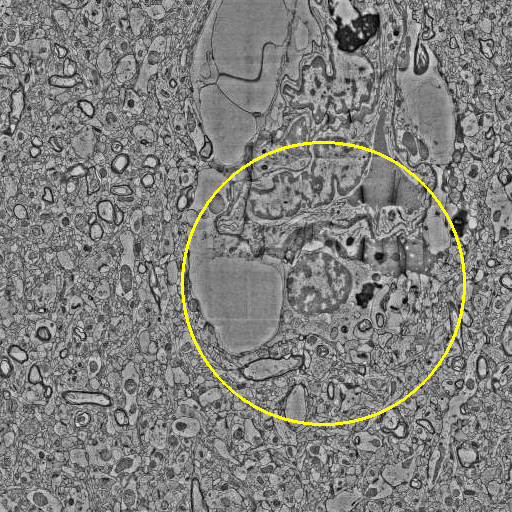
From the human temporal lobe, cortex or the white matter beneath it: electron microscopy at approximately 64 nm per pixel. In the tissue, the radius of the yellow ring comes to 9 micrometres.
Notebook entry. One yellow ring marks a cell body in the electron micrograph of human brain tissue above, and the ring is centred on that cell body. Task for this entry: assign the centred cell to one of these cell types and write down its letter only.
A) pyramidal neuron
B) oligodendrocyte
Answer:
B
